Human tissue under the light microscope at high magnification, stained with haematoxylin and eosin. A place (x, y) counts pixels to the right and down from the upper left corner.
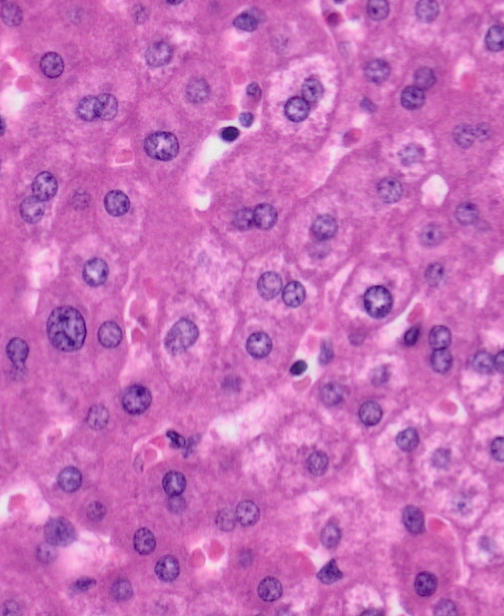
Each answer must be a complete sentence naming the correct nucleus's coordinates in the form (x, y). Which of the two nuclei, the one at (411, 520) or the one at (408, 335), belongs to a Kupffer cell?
Of the two nuclei, the one at (408, 335) belongs to a Kupffer cell.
